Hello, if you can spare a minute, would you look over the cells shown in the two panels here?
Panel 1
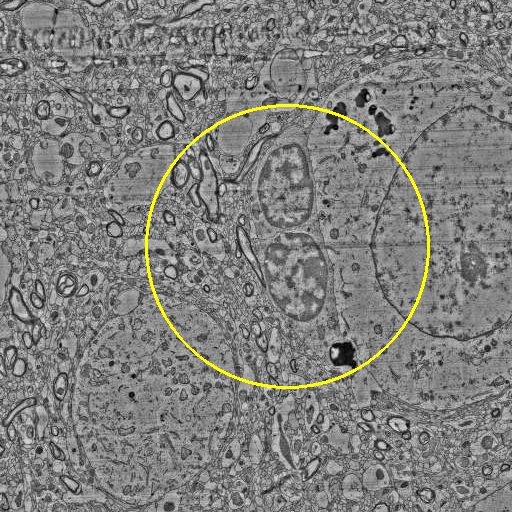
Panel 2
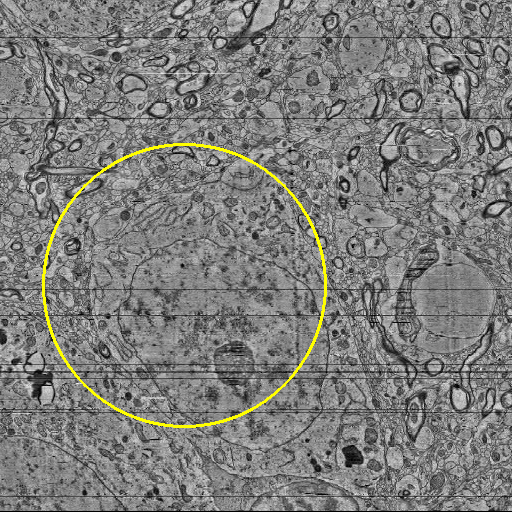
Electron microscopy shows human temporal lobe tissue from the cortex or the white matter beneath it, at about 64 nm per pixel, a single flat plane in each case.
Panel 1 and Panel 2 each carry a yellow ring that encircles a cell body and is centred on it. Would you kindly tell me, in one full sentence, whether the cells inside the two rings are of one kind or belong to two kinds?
The cells at the centres of the rings in Panel 1 and Panel 2 belong to two kinds.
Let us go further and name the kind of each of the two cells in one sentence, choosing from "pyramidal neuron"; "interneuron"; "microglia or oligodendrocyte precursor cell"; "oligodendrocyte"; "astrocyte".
The ring of the first picture is on an oligodendrocyte, the ring of the second on a pyramidal neuron.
